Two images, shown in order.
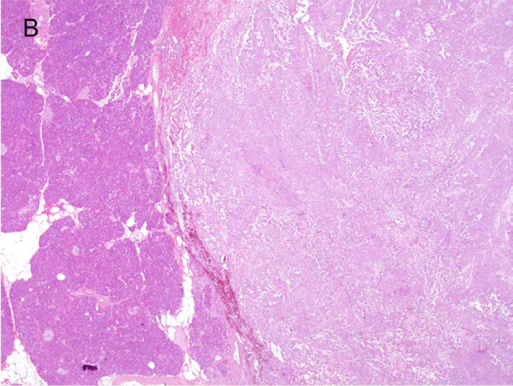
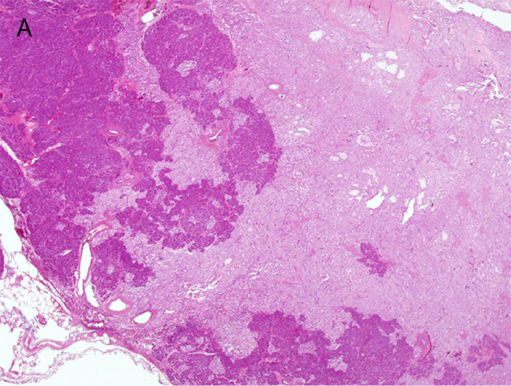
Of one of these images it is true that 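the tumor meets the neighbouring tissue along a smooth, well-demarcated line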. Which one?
The first image.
